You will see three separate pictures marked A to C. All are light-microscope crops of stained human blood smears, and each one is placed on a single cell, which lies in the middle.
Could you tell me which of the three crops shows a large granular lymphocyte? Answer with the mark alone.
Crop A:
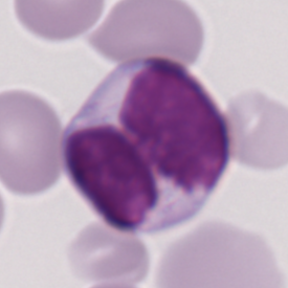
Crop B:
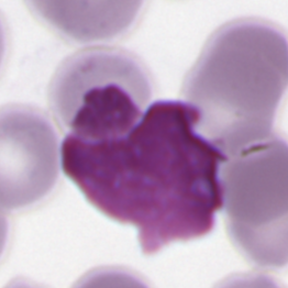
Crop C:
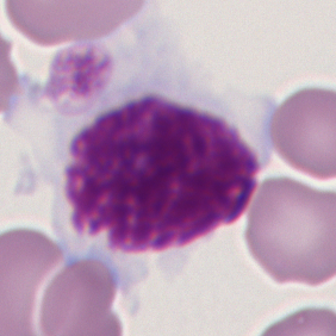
A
